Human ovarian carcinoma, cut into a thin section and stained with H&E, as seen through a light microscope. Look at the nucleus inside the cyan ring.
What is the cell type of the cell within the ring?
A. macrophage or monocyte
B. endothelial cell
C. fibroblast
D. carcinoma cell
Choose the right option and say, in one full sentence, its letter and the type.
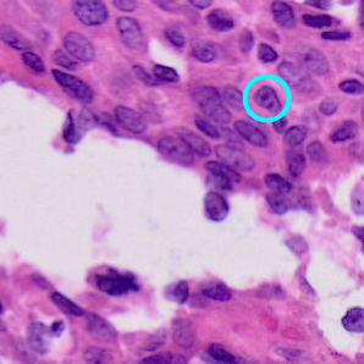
In short, option A: the cell within the ring is a macrophage or monocyte.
